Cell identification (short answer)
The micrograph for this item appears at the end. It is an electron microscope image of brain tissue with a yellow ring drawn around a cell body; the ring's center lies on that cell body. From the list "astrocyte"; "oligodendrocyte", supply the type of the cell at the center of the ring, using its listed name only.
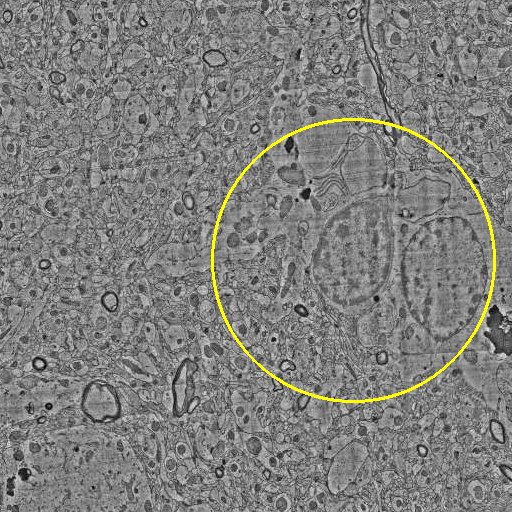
oligodendrocyte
